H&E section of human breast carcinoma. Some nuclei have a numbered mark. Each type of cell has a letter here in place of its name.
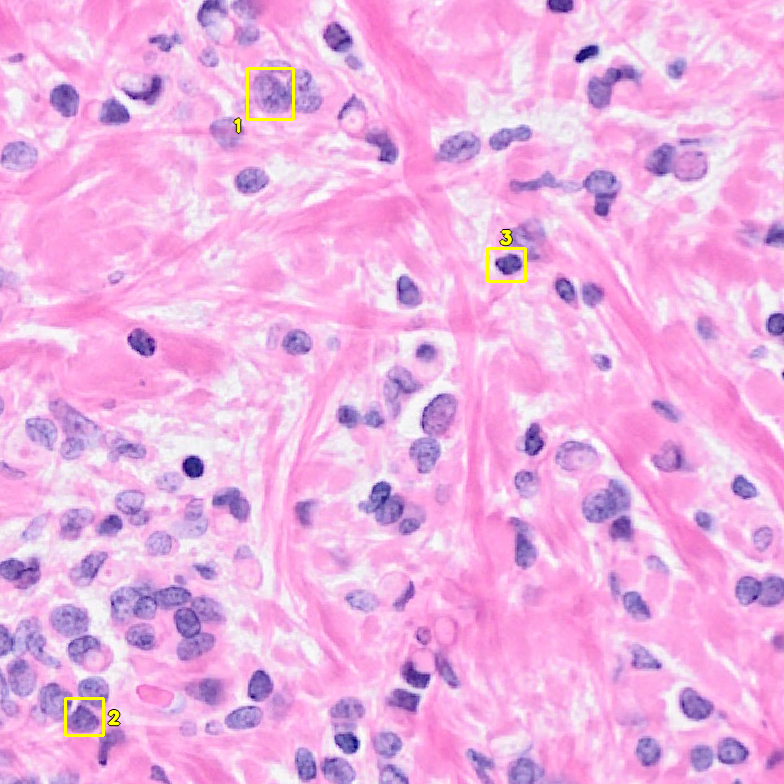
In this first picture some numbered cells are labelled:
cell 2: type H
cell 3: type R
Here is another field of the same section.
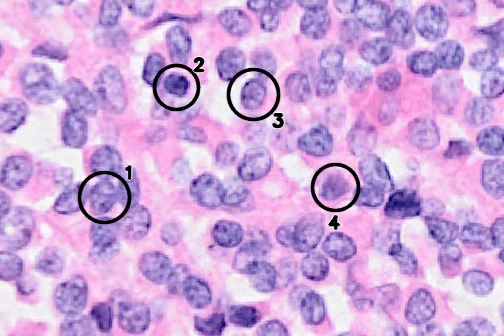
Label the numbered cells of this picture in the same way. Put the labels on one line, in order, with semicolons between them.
type H; type R; type H; type H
